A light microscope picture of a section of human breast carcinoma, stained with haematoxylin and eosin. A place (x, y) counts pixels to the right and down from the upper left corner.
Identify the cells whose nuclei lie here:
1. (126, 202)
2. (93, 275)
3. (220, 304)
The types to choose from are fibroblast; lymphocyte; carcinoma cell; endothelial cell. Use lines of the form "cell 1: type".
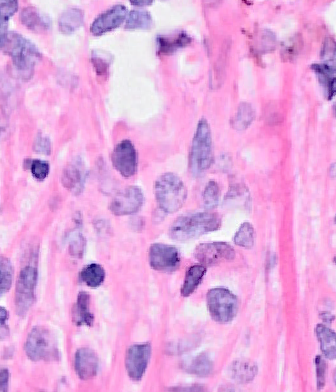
cell 1: carcinoma cell
cell 2: lymphocyte
cell 3: carcinoma cell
